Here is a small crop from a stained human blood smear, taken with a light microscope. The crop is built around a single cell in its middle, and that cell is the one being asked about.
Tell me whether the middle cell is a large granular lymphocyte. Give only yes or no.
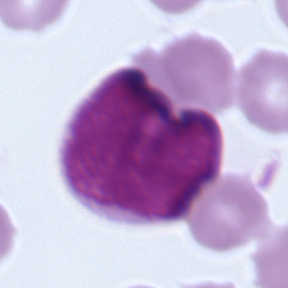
no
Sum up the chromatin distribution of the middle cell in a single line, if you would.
The key point is fine chromatin with no coarse clumps.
